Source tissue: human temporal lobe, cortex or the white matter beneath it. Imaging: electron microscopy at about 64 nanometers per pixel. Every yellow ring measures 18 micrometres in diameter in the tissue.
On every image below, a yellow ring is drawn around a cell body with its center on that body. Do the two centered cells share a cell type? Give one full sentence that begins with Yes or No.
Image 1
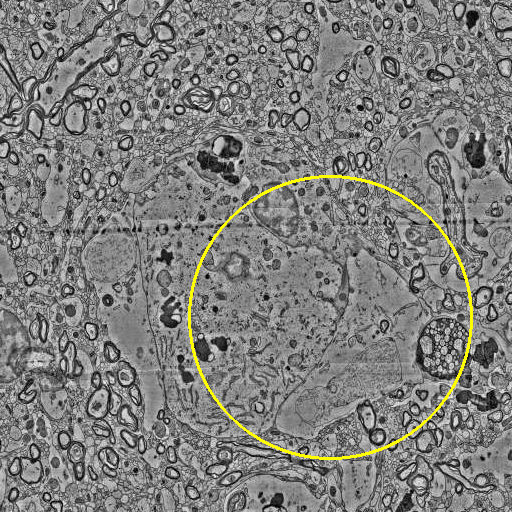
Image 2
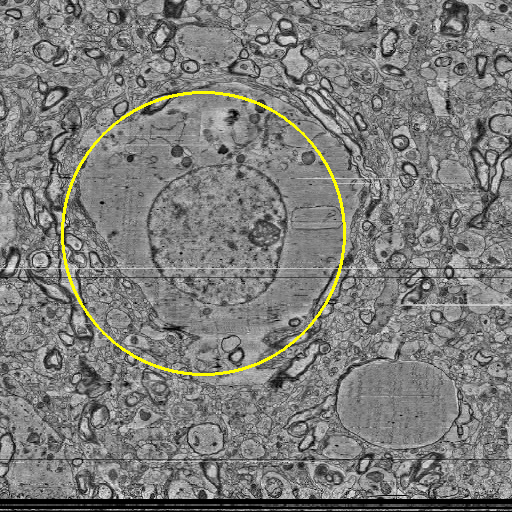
No, the centered cells in the two images are of two separate cell types.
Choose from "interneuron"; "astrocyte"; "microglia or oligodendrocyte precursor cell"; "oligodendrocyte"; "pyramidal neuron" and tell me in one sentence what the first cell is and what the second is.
What the first ring is centred on is an oligodendrocyte; what the second ring is centred on is an astrocyte.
